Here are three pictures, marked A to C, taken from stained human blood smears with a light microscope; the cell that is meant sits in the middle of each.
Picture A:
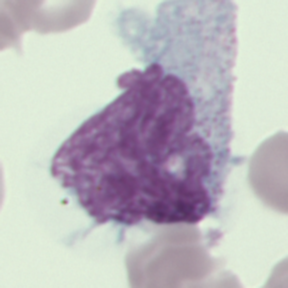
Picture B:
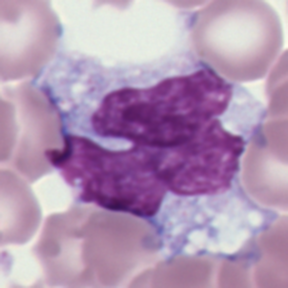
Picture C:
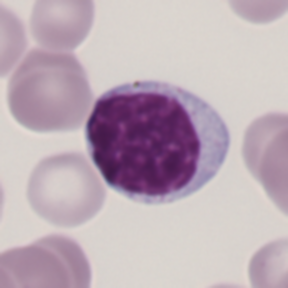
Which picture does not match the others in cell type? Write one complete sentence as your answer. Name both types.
Picture C is the odd one out: it shows a large granular lymphocyte, while the others show monocytes.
